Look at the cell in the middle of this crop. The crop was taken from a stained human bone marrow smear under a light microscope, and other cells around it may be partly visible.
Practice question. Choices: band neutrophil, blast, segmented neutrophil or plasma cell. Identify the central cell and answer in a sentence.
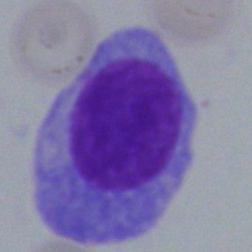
To answer, the cell in the center of the crop is a plasma cell.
